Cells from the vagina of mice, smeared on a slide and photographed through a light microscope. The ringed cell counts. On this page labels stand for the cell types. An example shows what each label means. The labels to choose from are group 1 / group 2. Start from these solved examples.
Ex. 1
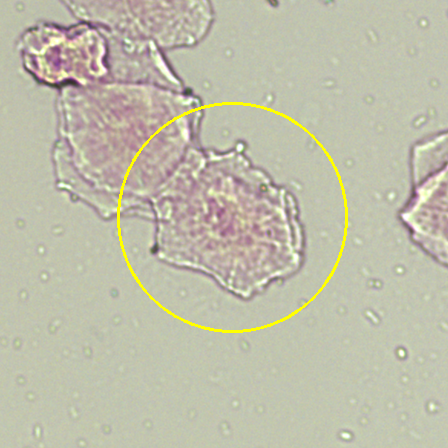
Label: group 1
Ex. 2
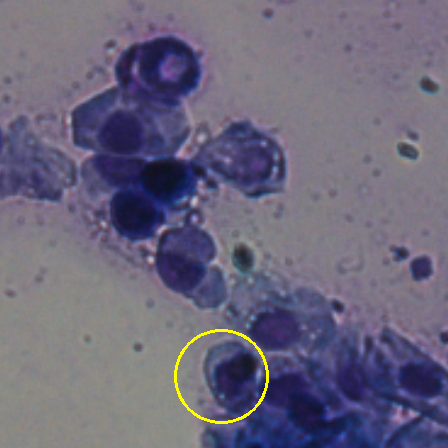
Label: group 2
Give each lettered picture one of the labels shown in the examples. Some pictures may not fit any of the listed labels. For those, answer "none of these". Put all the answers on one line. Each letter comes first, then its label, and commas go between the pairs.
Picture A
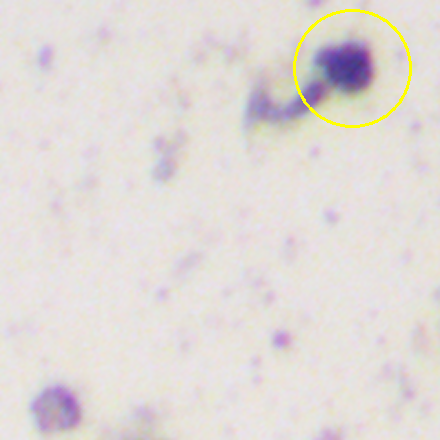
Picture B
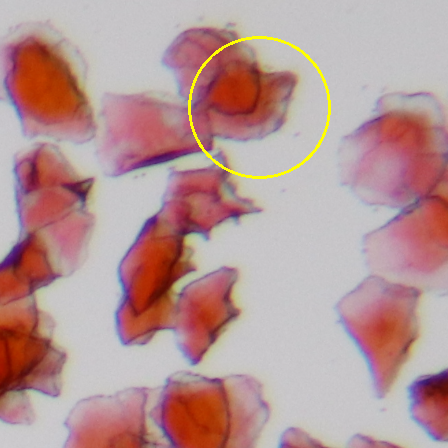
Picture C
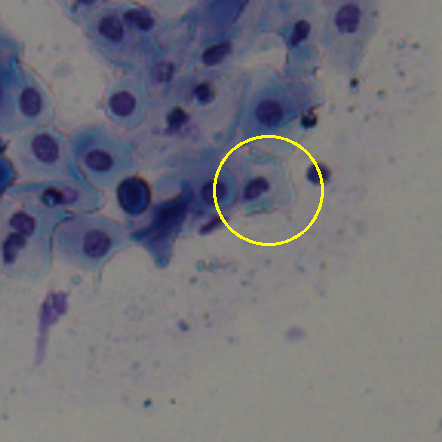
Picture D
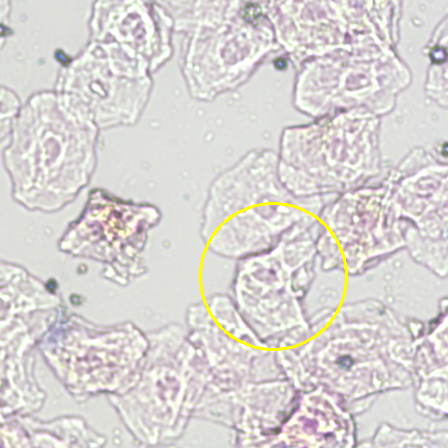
A none of these, B group 1, C group 2, D group 1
